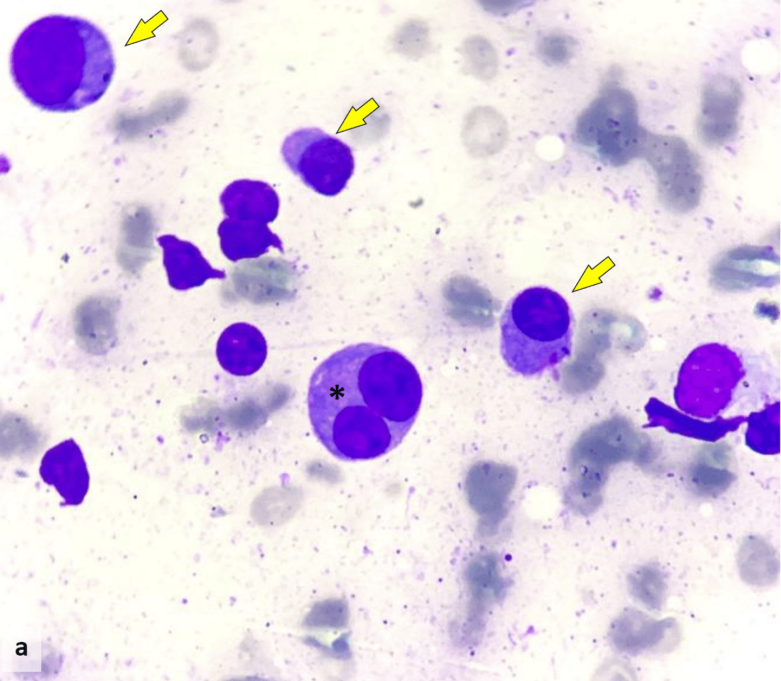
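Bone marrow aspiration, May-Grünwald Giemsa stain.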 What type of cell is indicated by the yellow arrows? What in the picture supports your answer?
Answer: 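Each marked cell has a round, dark purple nucleus pushed to one side of the cell. A rim of pale blue-lilac cytoplasm lies to one side of the nucleus. On this evidence: plasmacytoid cells.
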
